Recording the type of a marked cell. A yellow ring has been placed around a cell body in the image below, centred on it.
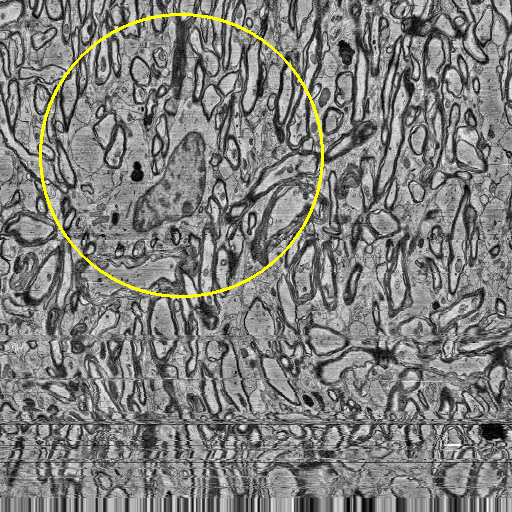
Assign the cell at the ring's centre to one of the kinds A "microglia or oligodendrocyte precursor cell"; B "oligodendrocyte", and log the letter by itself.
A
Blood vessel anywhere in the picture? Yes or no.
No, no vessel shows anywhere in the image.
